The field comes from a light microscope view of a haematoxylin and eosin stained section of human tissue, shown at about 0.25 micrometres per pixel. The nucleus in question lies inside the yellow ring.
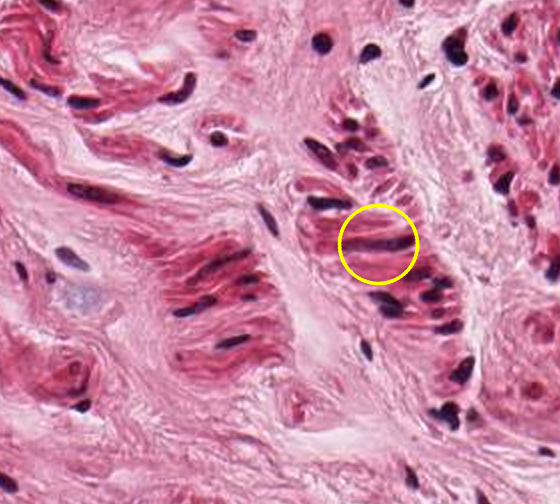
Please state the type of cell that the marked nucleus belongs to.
smooth muscle cell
